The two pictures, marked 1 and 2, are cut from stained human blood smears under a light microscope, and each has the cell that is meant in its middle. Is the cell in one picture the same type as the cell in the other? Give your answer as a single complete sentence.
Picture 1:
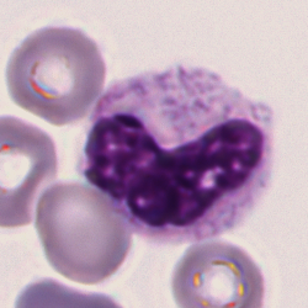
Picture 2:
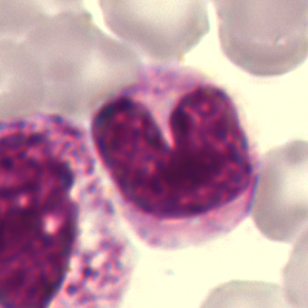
Yes, the two pictures both show band neutrophils.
